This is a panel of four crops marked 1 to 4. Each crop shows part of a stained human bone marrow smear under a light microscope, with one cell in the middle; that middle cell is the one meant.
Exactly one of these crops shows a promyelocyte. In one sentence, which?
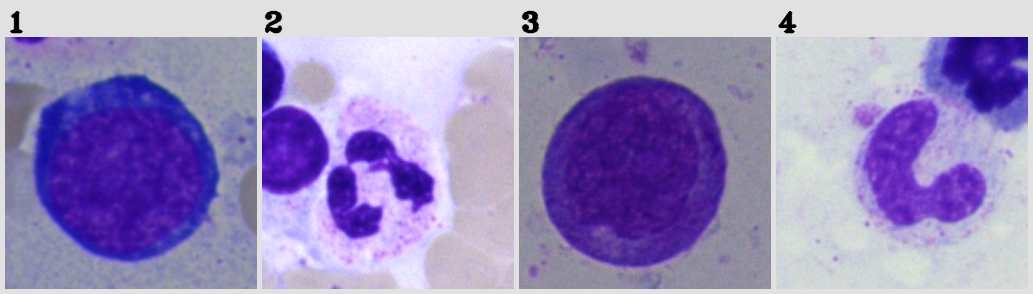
As for which crop shows a promyelocyte, it is crop 3.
